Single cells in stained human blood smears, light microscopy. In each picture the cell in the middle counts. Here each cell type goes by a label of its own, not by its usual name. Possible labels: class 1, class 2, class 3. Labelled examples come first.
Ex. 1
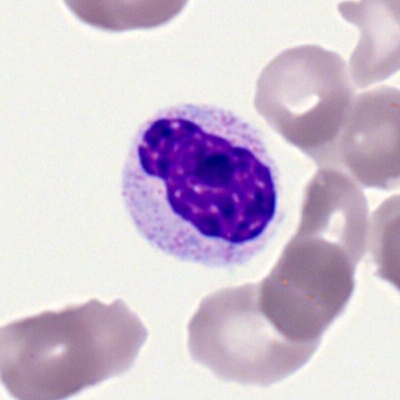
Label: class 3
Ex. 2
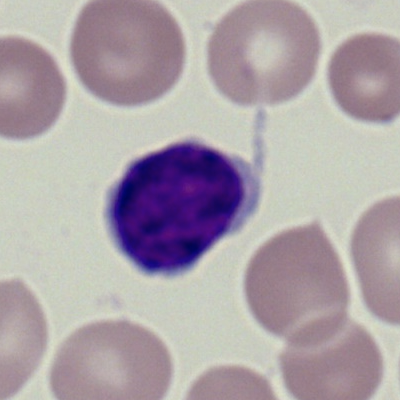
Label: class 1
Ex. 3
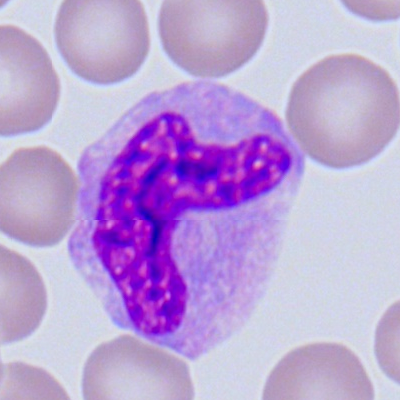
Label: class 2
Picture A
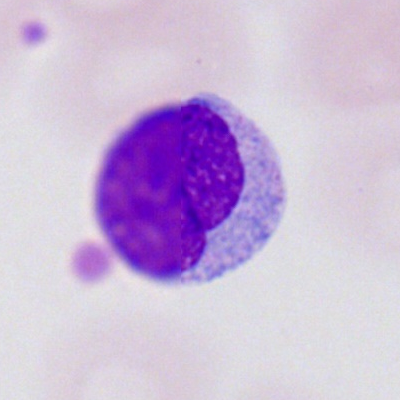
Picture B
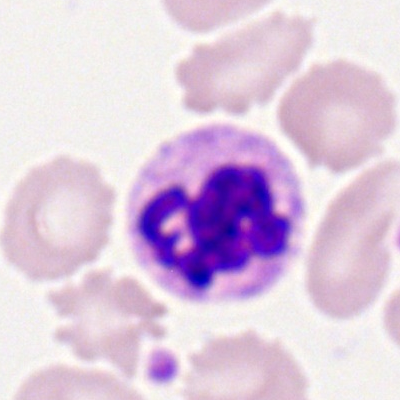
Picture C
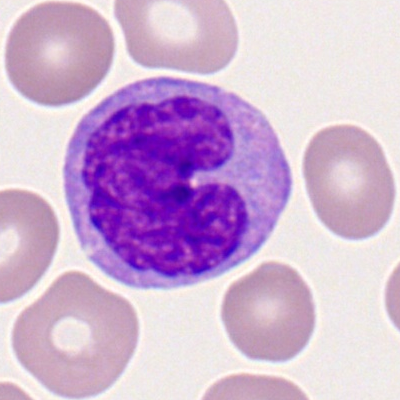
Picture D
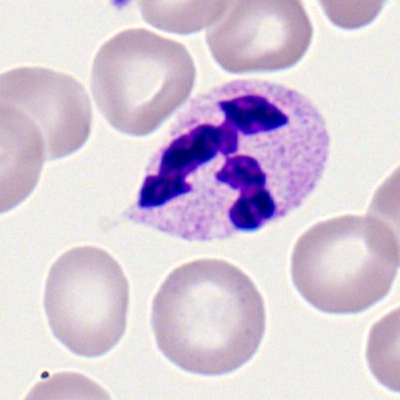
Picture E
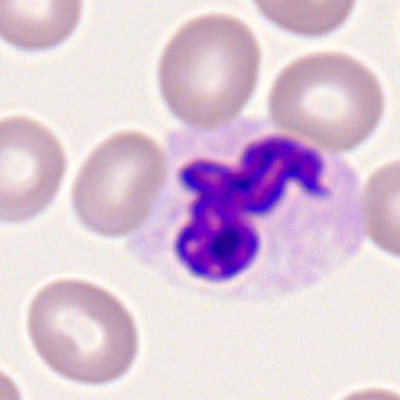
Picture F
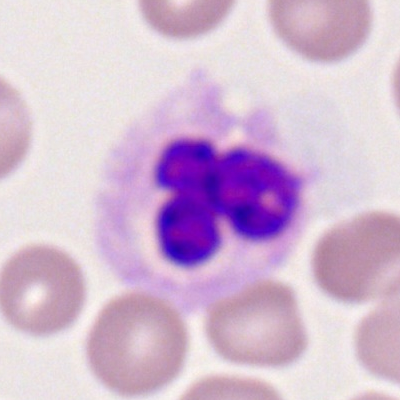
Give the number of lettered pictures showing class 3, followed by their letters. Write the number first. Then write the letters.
Count: 4 (B, D, E, F)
